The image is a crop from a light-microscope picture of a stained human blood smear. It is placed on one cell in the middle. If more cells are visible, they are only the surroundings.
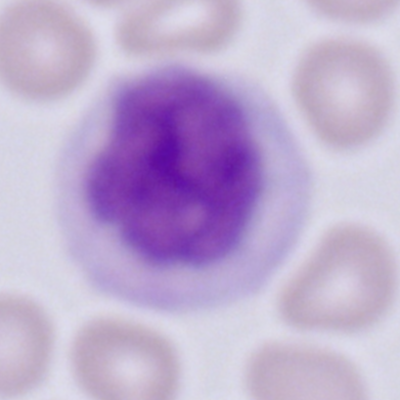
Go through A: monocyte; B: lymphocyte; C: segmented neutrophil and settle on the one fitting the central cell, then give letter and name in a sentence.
With the cell in the middle being a monocyte, option A is the correct choice.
